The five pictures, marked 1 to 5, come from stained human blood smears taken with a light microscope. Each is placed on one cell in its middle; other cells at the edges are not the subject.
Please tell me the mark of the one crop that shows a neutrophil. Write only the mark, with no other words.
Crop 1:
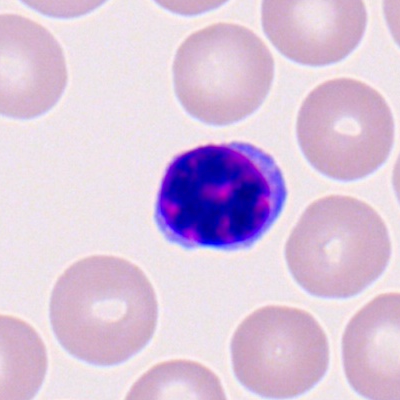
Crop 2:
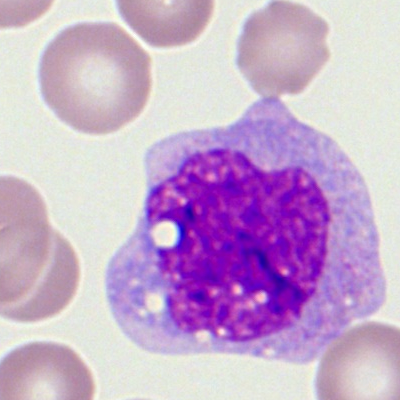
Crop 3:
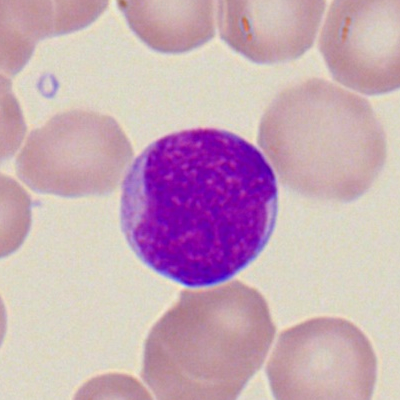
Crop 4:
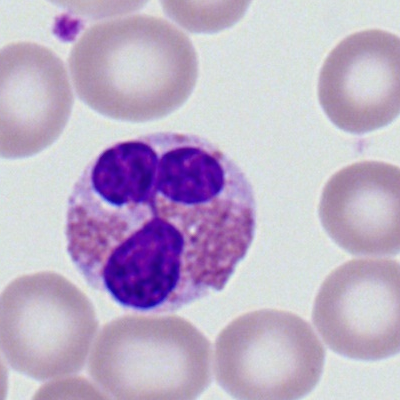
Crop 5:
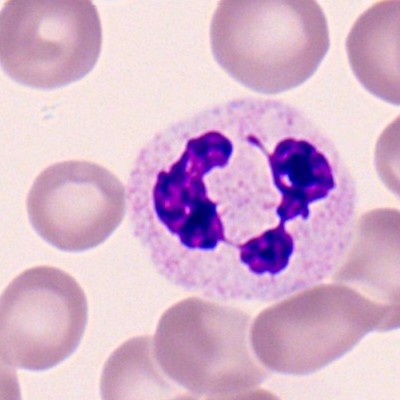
5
